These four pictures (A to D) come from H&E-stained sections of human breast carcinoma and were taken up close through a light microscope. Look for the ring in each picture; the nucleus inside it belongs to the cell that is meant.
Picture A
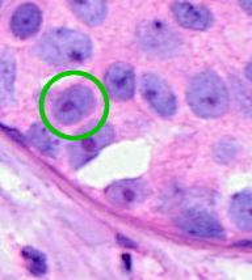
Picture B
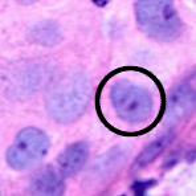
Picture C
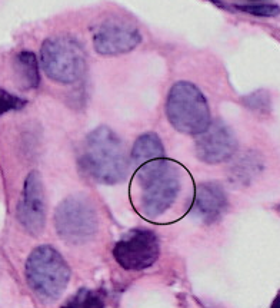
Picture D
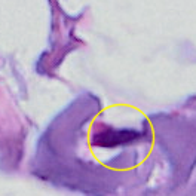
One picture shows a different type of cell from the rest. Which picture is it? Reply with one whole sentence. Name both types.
Picture D differs, because its cell is a fibroblast and the rest are carcinoma cells.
